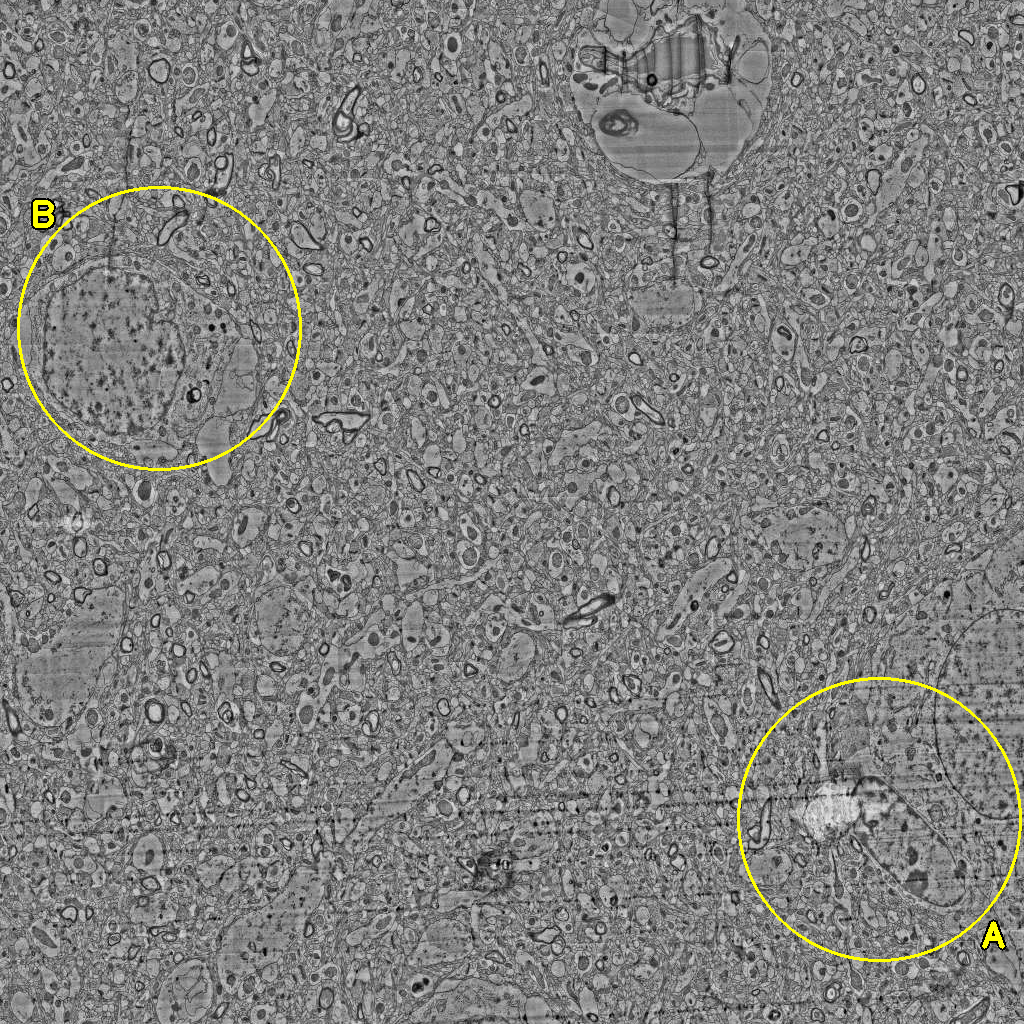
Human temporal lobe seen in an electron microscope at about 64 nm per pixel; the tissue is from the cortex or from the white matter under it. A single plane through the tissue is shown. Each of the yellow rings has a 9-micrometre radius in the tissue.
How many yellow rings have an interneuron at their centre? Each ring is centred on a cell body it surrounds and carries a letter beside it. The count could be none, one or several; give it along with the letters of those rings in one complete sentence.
Only a single yellow ring is centred on an interneuron, and its letter is B.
